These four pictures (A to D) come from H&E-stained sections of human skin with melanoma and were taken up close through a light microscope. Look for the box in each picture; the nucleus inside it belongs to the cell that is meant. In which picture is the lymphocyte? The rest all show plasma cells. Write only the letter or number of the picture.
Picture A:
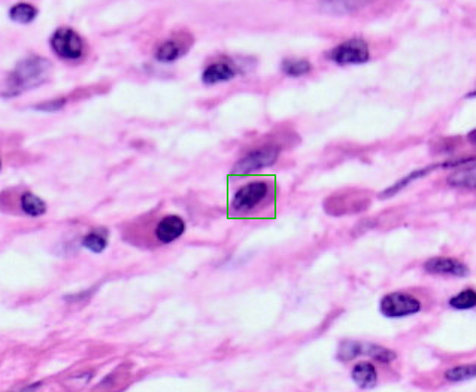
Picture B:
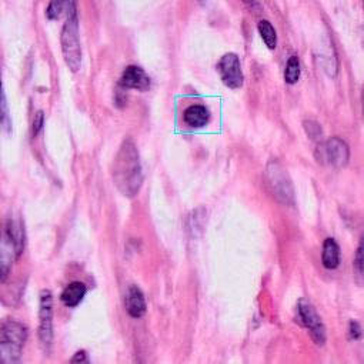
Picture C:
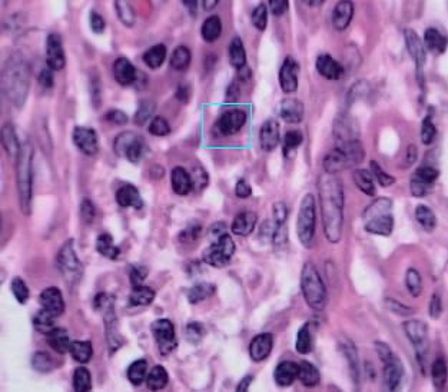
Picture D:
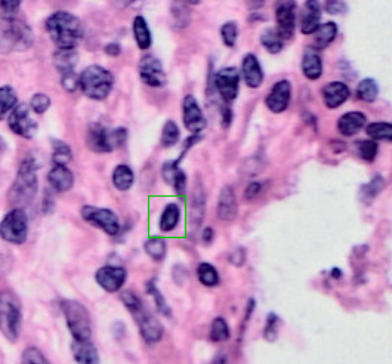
D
